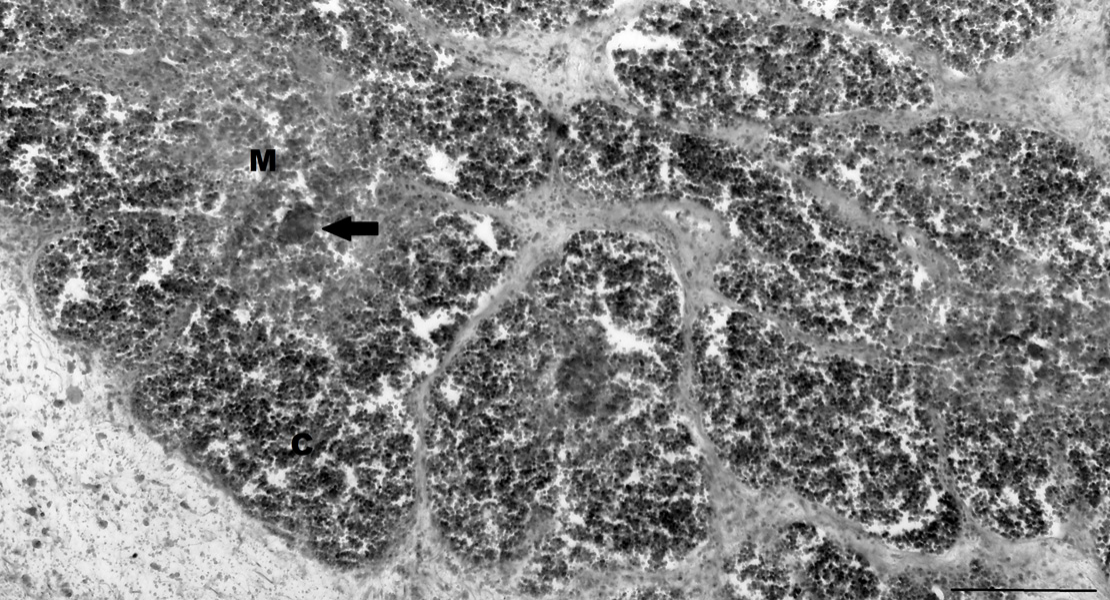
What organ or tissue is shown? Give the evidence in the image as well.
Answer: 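Thymus. Tissue divided into lobules by thin pale septa. Densely packed small round dark cells fill the lobules.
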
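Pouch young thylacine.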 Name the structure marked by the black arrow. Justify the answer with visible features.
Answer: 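Hassall’s corpuscles. The arrow points to a small rounded, homogeneous, darker body. The body lies in a paler, less densely packed zone.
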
